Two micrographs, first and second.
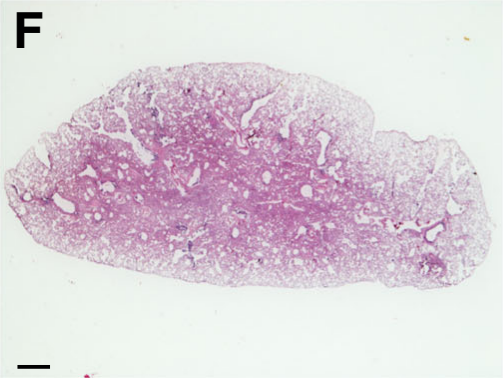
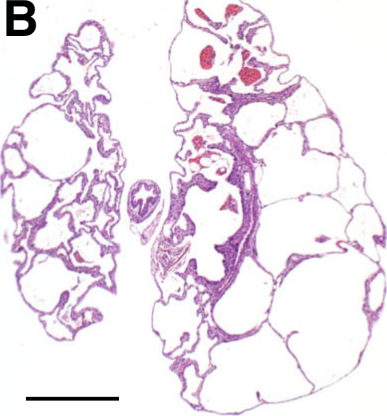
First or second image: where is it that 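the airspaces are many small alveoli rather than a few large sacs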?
The first image.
